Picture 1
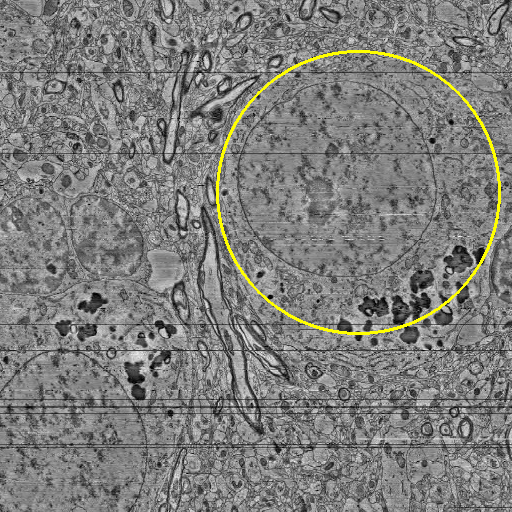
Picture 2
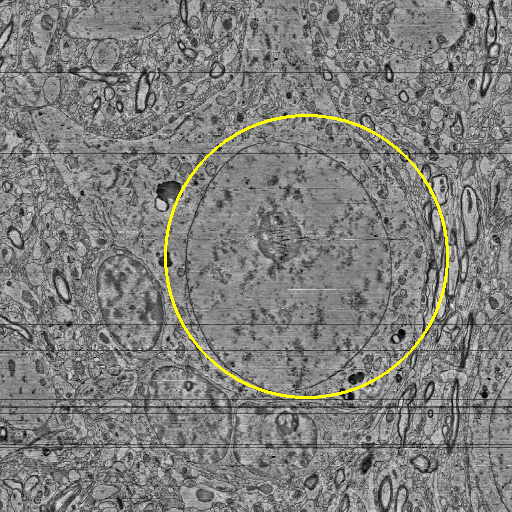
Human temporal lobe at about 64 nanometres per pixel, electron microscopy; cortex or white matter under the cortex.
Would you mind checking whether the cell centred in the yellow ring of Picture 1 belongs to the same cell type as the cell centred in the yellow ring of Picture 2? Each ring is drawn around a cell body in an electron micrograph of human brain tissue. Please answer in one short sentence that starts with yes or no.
Yes, both cells are of the same type.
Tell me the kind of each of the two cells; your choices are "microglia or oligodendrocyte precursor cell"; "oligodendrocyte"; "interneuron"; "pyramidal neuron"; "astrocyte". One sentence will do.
In the first picture and in the second, the ring is centred on a pyramidal neuron.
